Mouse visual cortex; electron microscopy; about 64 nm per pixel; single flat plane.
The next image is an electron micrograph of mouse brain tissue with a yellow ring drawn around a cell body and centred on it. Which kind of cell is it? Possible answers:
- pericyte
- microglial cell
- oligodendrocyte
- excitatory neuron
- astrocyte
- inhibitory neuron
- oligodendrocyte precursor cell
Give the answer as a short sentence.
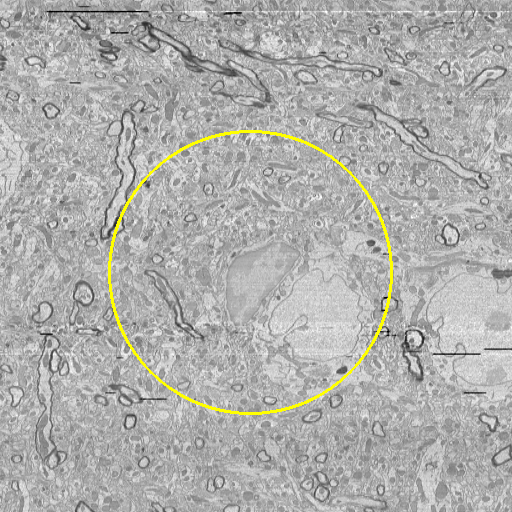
In the ring's centre is a microglial cell.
